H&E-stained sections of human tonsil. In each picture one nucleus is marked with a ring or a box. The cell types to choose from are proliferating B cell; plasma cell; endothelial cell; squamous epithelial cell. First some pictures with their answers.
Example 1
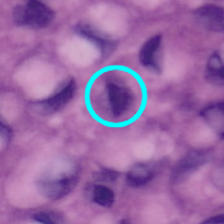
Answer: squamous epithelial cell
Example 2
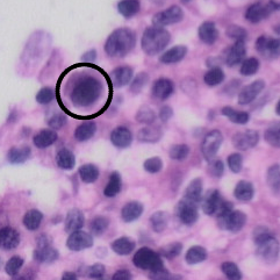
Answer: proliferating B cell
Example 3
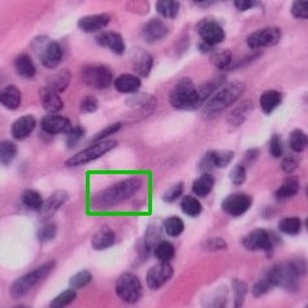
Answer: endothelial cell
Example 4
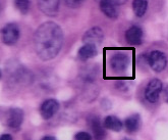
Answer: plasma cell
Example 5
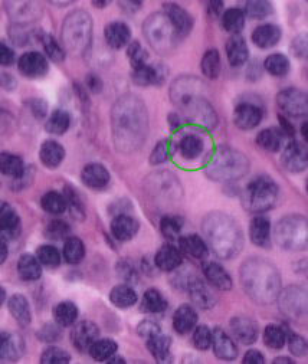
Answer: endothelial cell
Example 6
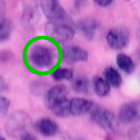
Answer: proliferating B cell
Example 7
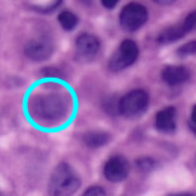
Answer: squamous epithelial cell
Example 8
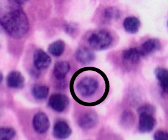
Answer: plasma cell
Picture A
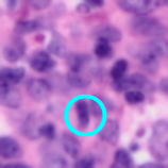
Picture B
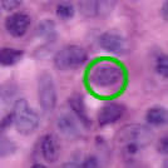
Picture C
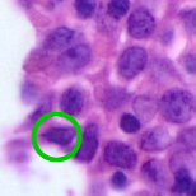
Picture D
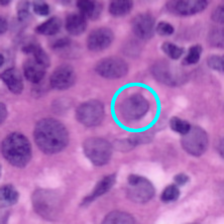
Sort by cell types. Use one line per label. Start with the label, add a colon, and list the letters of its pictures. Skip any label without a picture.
proliferating B cell: A
squamous epithelial cell: B, C, D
